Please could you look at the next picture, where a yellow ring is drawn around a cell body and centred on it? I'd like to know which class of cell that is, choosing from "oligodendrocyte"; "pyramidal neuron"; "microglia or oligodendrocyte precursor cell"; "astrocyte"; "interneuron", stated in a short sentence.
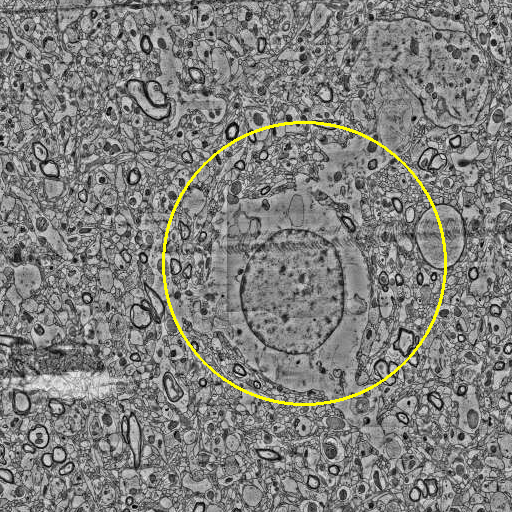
The ring's centre lies on an astrocyte.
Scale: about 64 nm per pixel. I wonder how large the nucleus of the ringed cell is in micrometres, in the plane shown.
Roughly 8 micrometres by 7 micrometres, in this plane.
